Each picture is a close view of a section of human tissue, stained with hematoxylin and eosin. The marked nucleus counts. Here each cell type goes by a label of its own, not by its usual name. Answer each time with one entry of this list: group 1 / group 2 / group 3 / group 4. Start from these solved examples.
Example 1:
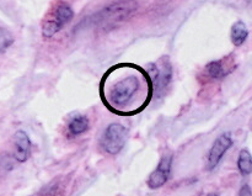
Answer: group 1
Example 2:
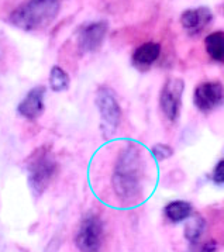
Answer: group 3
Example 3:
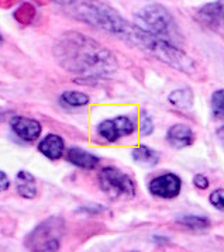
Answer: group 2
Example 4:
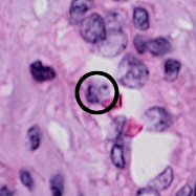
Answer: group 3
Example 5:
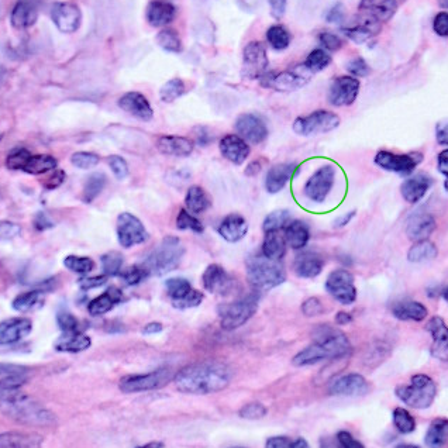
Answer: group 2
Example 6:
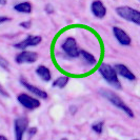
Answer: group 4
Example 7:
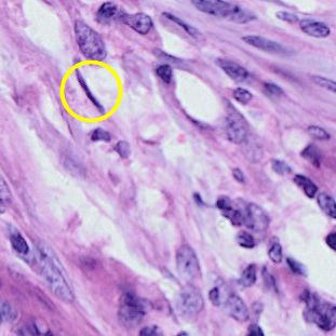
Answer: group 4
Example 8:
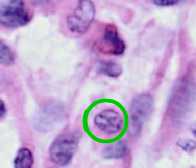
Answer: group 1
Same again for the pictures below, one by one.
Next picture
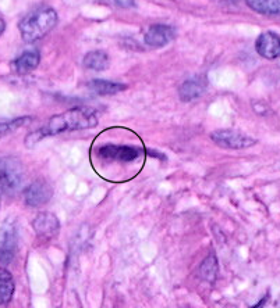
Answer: group 1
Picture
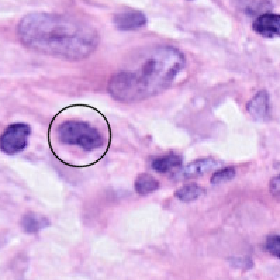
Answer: group 1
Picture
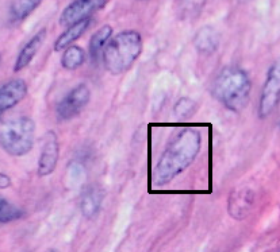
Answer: group 4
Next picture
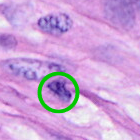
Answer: group 1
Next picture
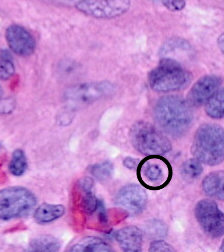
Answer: group 1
